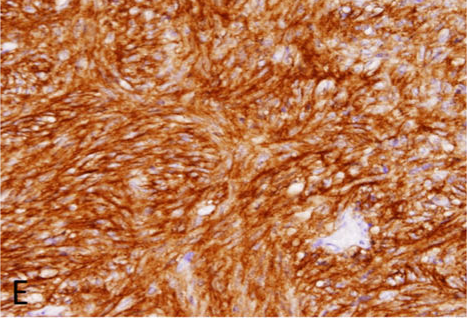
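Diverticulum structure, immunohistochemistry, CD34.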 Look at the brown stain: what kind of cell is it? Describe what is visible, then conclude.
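Strong brown stain outlines densely packed elongated cells. Cells are arranged in whorls and intersecting bundles. On this evidence: proliferating spindle cells.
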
